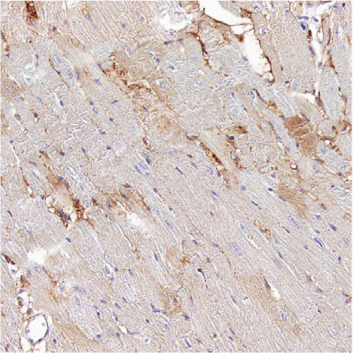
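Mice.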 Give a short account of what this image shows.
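This section of cardiac tissue shows heart muscle fibres running in parallel bundles diagonally across the field. The fibres have pale pink-beige cytoplasm. Elongated blue nuclei lie within the fibres. A few small clear spaces, consistent with vessels, appear near the upper edge.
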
